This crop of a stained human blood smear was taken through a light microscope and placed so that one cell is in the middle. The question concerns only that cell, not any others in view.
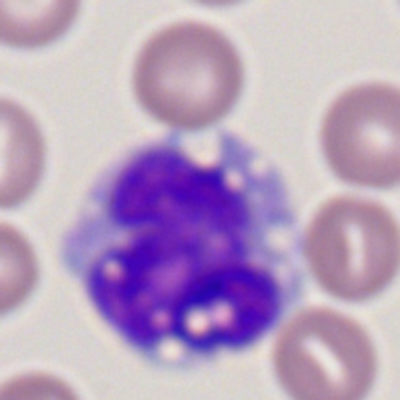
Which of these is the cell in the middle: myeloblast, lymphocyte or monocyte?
monocyte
